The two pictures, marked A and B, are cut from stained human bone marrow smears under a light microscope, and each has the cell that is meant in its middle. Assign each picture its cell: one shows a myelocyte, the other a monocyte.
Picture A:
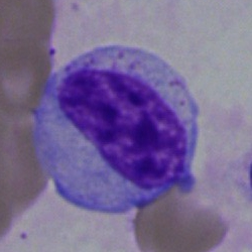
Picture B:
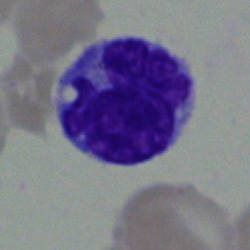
A: myelocyte
B: monocyte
